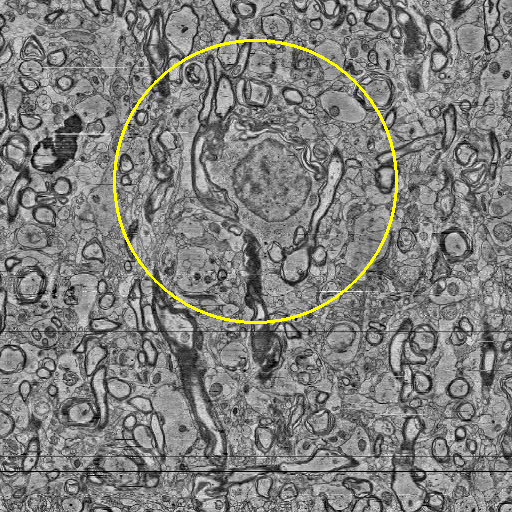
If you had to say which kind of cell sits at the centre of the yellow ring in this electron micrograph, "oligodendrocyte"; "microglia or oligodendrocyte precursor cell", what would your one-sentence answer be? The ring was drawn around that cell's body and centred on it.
The cell sitting at the centre of the ring is an oligodendrocyte.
